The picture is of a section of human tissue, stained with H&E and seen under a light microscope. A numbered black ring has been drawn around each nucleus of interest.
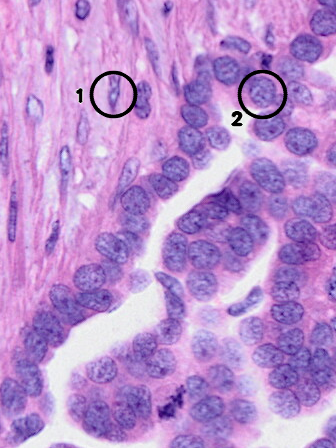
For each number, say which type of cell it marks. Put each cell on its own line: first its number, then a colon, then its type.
1: fibroblast
2: carcinoma cell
